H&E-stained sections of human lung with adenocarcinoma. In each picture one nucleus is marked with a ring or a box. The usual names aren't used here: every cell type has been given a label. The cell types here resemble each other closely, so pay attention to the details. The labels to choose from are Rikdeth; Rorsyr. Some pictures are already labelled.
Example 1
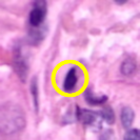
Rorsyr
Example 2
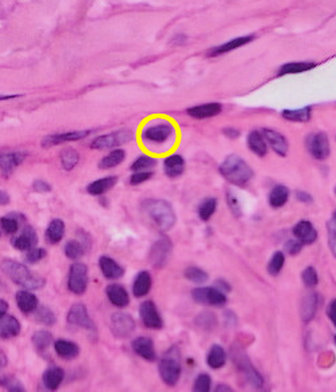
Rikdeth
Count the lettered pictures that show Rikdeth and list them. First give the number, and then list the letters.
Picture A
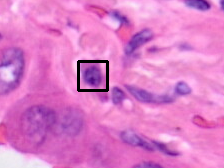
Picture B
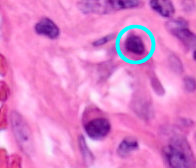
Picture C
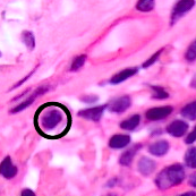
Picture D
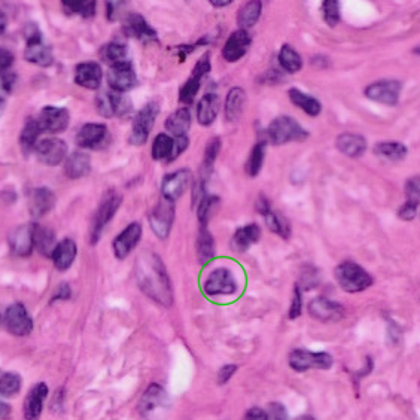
Count: 2 (C, D)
